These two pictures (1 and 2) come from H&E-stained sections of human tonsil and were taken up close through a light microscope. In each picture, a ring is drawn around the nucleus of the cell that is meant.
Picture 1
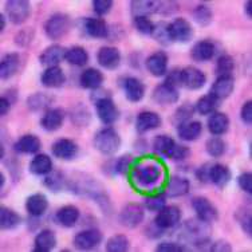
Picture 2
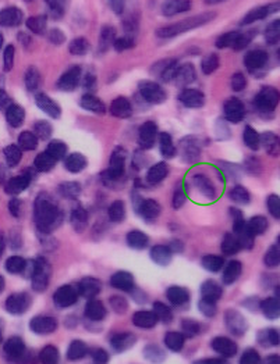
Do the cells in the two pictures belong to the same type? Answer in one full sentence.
No; the cell in picture 1 is a small lymphocyte, while the one in picture 2 is an endothelial cell.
